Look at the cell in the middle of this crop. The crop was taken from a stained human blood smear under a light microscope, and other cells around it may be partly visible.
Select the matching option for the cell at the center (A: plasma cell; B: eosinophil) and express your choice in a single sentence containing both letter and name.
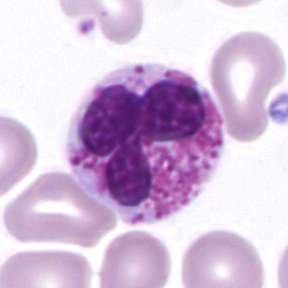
Option B is right, the centrally situated cell being an eosinophil.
